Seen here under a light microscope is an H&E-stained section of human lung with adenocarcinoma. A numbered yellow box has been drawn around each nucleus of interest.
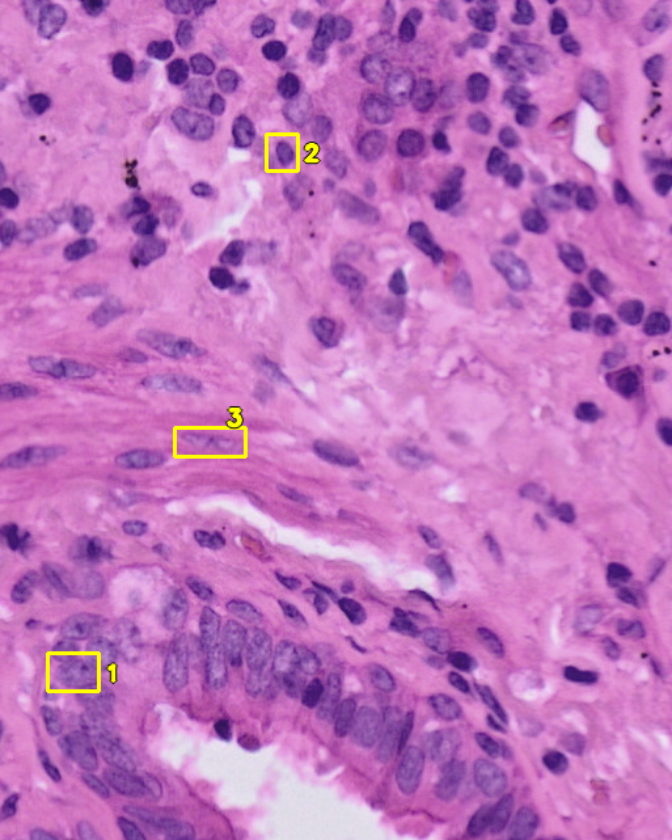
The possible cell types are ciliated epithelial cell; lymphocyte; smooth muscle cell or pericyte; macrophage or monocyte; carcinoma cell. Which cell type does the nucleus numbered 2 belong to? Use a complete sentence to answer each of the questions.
The marked cell with the number 2 is recognised as a lymphocyte.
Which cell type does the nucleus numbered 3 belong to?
The cell given label 3 is a smooth muscle cell or pericyte.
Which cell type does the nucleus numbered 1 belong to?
To a ciliated epithelial cell belongs the nucleus marked 1.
